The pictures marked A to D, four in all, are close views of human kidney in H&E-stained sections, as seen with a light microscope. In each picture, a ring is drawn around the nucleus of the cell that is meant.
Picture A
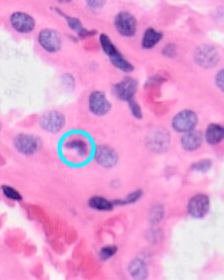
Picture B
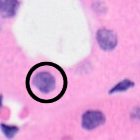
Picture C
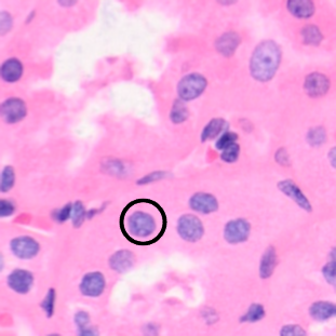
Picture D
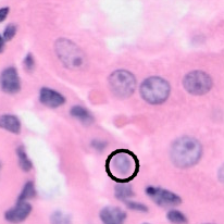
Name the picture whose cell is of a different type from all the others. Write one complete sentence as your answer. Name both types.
The different one is picture D; it shows a collecting duct cell, whereas all the others show “loop of Henle or distal tubule cells”.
